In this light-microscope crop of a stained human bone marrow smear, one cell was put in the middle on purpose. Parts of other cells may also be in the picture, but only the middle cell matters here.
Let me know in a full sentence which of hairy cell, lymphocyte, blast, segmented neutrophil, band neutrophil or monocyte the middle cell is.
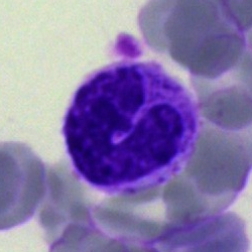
The cell sitting right in the middle is a band neutrophil.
